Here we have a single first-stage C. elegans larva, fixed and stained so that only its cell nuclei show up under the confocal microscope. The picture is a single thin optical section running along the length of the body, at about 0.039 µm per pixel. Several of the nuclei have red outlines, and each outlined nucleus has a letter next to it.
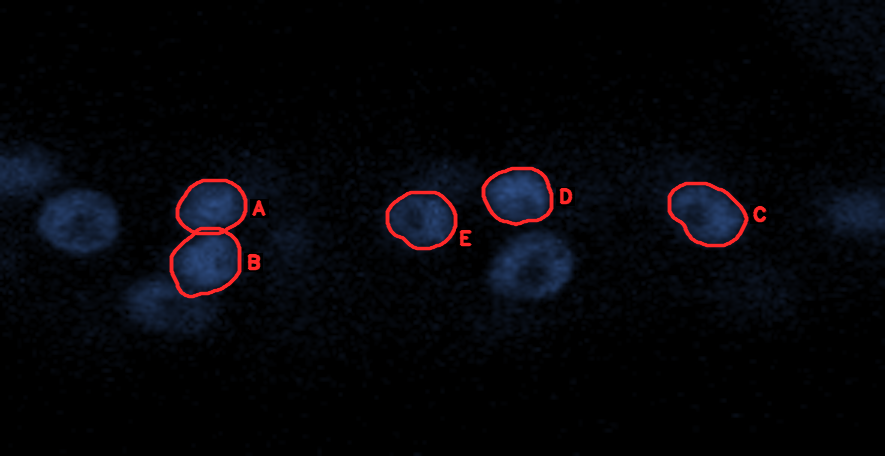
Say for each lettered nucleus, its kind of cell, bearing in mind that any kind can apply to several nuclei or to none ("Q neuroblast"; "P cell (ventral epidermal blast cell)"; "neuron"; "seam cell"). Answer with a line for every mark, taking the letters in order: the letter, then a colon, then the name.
A: P cell (ventral epidermal blast cell)
B: Q neuroblast
C: seam cell
D: P cell (ventral epidermal blast cell)
E: seam cell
